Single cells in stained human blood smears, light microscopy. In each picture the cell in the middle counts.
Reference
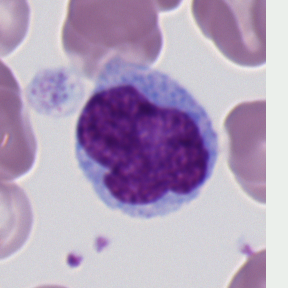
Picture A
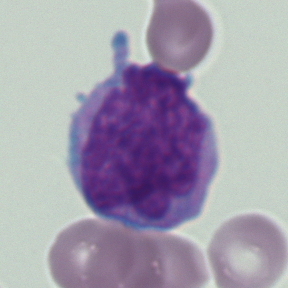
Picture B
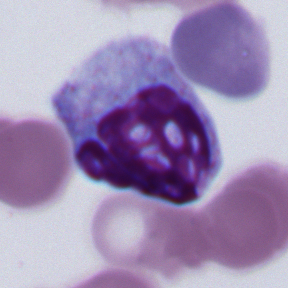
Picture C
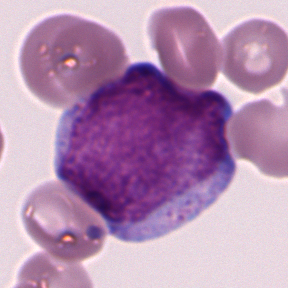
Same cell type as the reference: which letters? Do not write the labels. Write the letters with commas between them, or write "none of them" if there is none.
B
